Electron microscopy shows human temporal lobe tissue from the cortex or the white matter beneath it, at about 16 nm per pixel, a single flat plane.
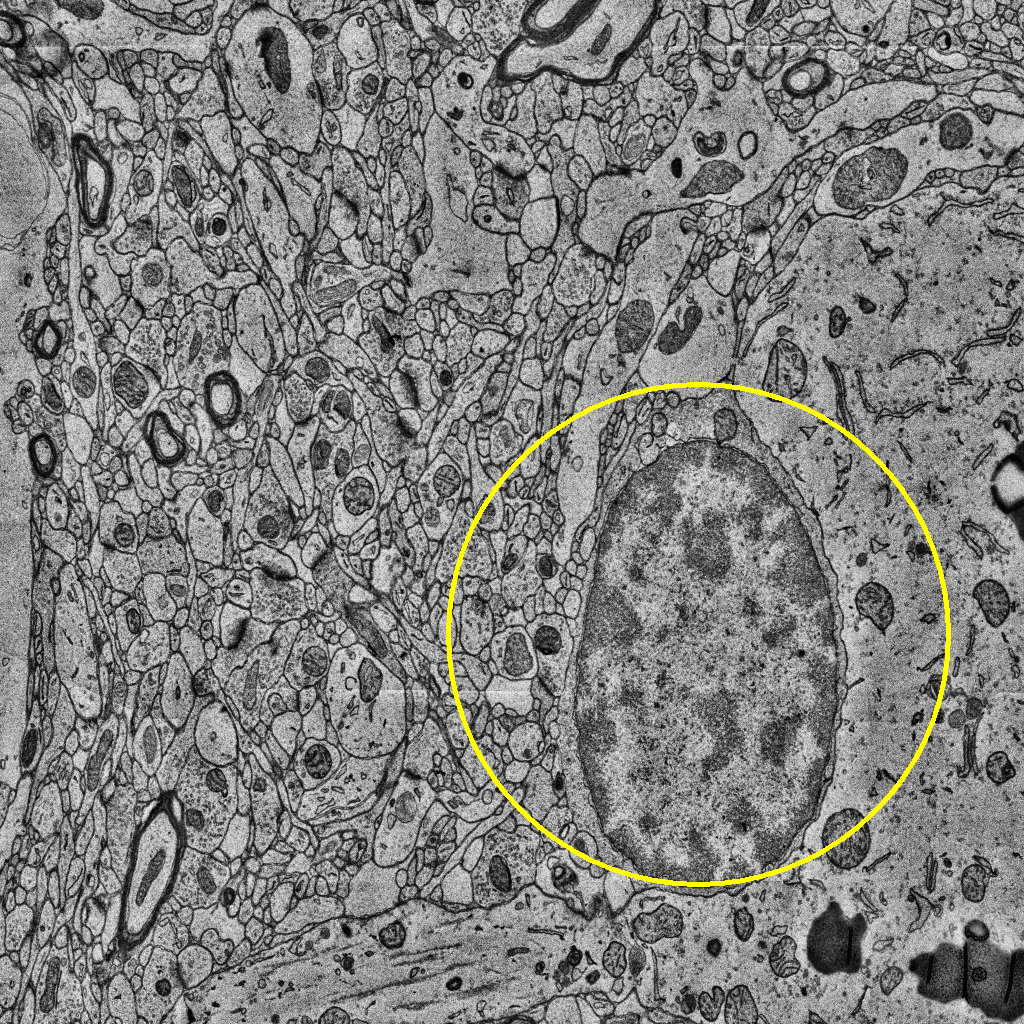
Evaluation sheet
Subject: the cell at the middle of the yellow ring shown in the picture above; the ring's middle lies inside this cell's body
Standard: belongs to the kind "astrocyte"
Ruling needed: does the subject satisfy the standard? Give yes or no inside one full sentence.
No, the cell at the middle of the ring in the picture above belongs to some other kind.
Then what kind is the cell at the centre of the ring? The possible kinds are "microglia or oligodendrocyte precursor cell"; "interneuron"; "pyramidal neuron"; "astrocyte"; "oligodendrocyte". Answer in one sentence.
The cell circled by the yellow ring is an oligodendrocyte.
